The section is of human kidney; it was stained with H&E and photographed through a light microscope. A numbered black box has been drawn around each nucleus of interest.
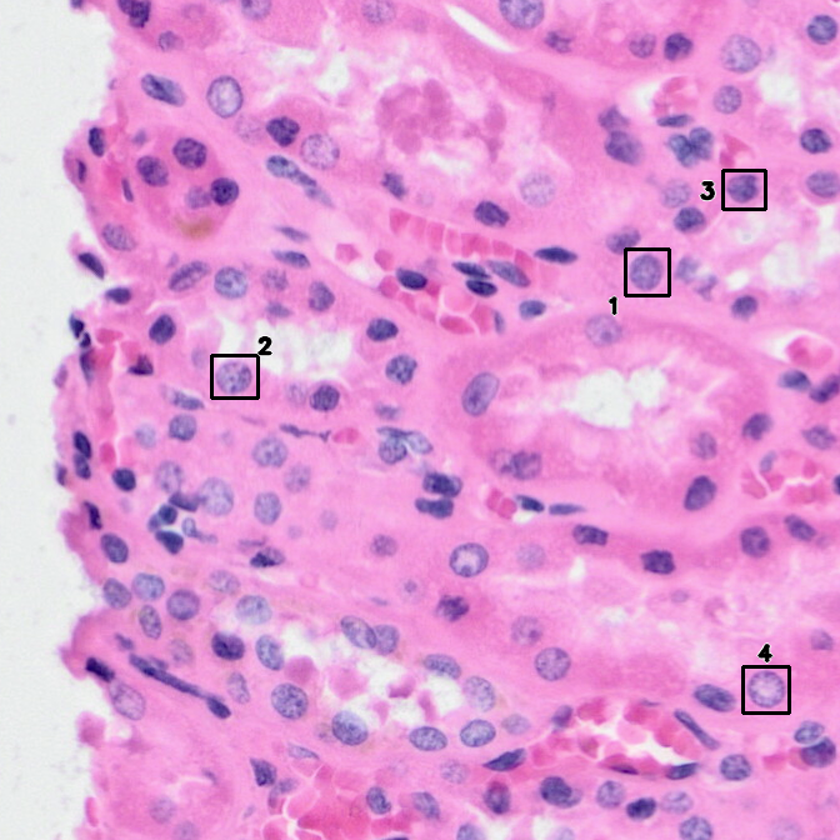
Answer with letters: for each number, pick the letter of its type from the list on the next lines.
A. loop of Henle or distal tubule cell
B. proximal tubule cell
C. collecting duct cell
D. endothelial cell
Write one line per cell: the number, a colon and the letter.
1: A
2: A
3: A
4: B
